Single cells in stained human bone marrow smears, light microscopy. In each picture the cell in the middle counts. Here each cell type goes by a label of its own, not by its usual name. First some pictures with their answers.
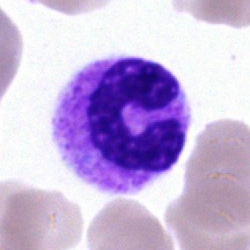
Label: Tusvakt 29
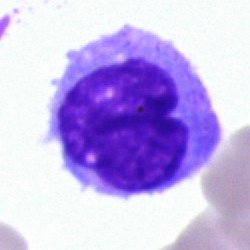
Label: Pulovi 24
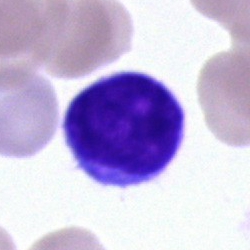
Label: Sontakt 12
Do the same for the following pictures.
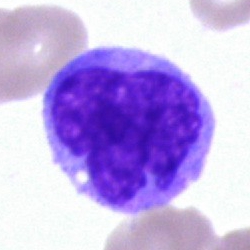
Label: Pulovi 24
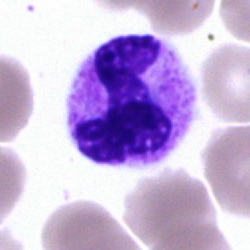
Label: Tusvakt 29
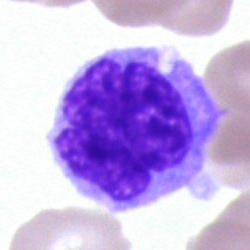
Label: Pulovi 24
